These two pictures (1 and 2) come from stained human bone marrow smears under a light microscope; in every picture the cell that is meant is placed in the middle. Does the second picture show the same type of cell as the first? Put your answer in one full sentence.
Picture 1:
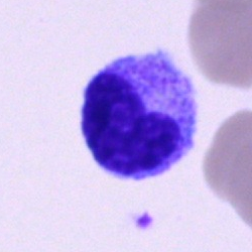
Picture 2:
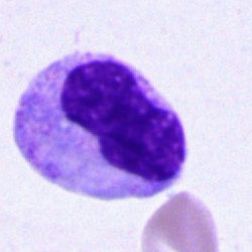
Yes, both cells are metamyelocytes.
